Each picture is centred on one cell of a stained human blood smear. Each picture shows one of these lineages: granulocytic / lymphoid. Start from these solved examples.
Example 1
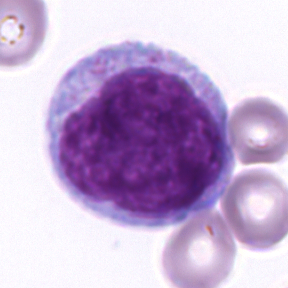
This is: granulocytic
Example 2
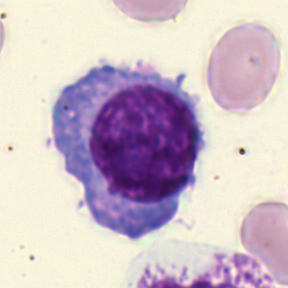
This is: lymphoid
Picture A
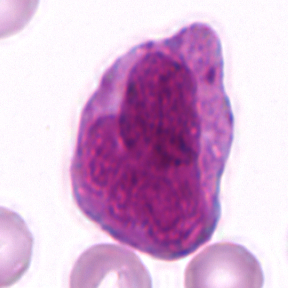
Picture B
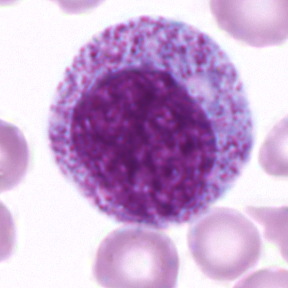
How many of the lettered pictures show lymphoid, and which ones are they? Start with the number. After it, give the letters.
0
